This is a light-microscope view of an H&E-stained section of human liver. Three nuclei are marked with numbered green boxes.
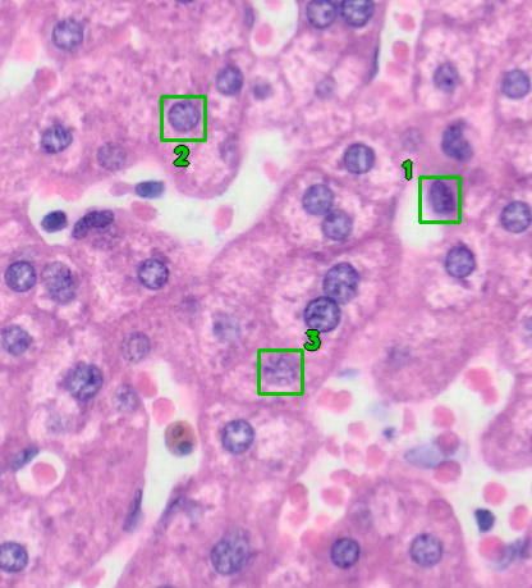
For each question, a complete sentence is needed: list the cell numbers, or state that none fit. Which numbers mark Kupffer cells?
Of the cells carrying numbers, just cell 1 is a Kupffer cell.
